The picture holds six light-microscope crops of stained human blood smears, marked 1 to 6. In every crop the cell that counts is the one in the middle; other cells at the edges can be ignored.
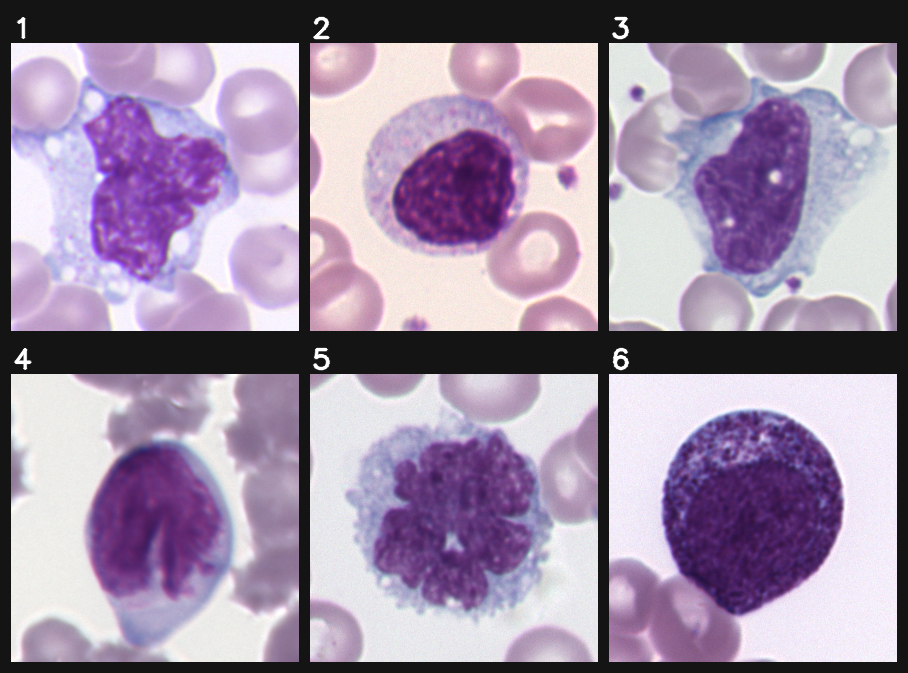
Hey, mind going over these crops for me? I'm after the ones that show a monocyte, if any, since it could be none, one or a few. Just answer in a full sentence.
In this set, crops 1, 3 and 5 show monocytes.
